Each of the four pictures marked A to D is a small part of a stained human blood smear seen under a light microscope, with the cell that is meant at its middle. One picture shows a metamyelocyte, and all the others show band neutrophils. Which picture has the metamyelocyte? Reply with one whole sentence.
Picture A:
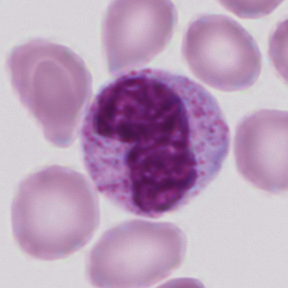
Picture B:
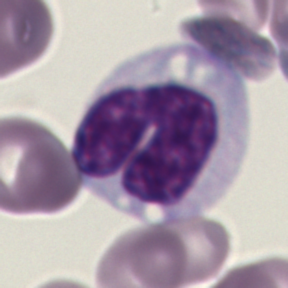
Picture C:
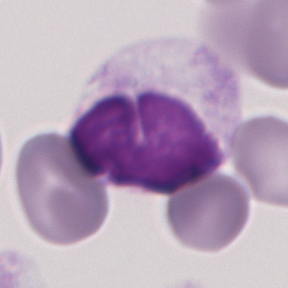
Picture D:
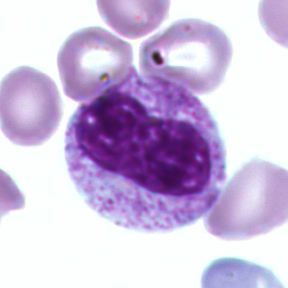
The cell in picture D is the metamyelocyte.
